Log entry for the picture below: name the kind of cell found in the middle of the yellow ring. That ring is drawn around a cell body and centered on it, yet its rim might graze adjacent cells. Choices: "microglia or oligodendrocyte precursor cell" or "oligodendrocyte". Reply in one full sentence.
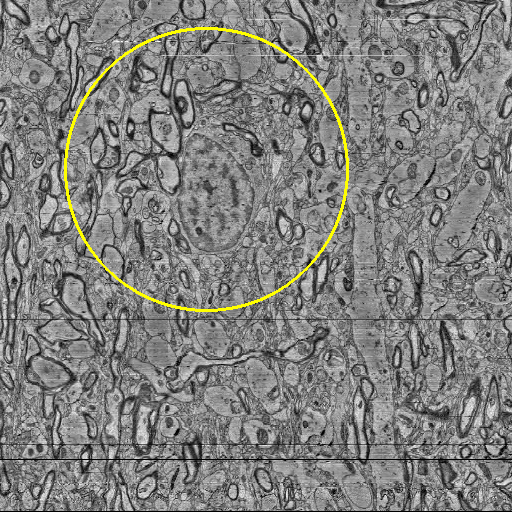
The cell in the middle of the yellow ring in this picture is an oligodendrocyte.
